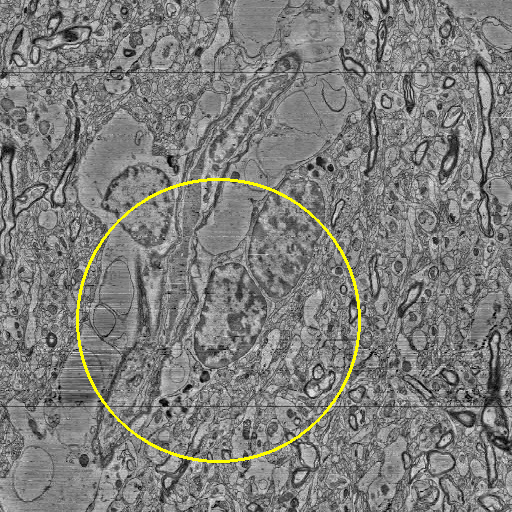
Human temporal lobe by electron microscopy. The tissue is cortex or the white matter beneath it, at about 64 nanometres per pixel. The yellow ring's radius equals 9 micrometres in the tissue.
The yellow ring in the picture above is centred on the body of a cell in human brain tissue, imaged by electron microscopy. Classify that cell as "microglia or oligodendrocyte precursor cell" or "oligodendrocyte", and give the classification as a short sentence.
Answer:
The cell in the middle of the ring is a microglial cell or oligodendrocyte precursor cell.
